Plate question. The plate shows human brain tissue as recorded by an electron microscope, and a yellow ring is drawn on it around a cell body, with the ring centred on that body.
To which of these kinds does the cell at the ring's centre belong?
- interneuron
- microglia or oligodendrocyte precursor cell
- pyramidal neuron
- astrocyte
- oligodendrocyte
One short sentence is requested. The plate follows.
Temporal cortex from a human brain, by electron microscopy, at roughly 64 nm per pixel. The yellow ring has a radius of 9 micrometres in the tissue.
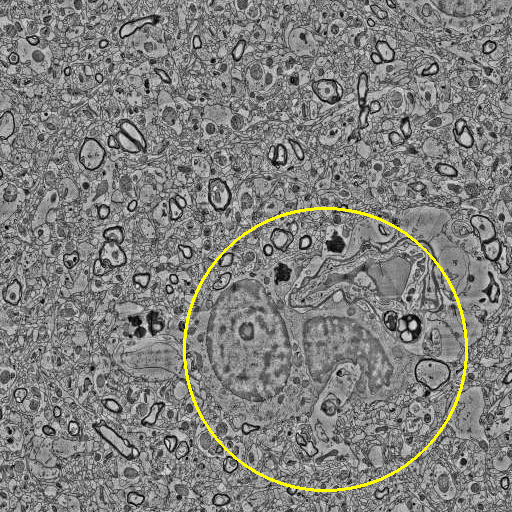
The cell at the ring's centre is an oligodendrocyte.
